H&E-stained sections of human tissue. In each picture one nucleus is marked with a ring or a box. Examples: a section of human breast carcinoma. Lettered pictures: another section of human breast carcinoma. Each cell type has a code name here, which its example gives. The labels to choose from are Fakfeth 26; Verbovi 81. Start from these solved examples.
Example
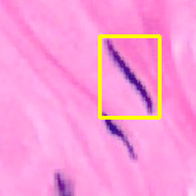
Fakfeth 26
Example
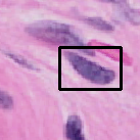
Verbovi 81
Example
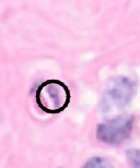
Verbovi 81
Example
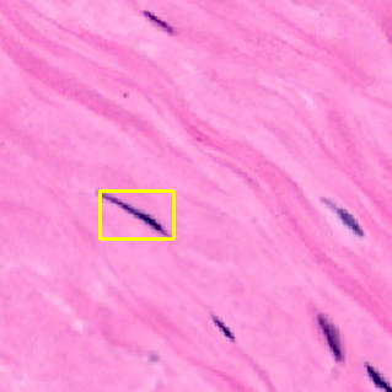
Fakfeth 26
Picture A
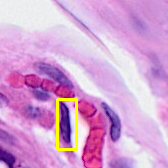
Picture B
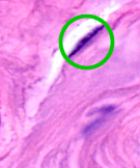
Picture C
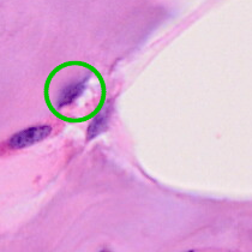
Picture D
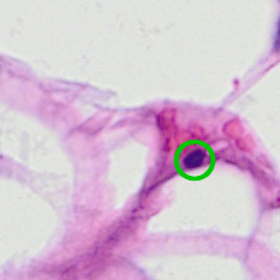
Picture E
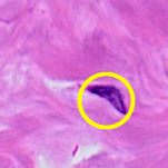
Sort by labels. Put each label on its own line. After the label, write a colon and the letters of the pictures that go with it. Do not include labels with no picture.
Fakfeth 26: B, C, E
Verbovi 81: A, D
